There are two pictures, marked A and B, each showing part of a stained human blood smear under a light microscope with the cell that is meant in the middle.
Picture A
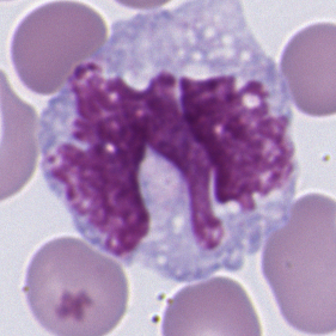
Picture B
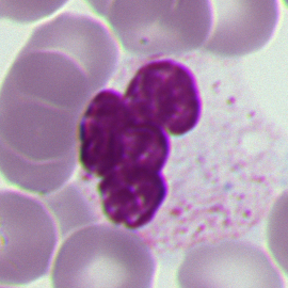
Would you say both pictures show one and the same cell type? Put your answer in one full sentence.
No; the cell in picture A is a monocyte, while the one in picture B is a segmented neutrophil.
